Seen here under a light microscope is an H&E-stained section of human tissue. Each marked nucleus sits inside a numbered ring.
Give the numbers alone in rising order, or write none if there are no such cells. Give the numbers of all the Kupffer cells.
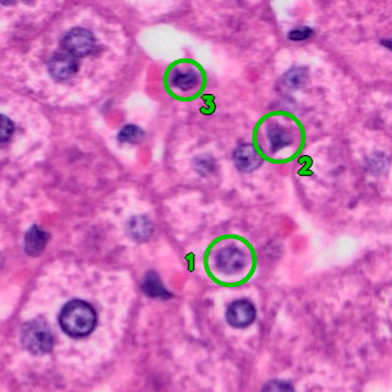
3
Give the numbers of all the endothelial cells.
2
